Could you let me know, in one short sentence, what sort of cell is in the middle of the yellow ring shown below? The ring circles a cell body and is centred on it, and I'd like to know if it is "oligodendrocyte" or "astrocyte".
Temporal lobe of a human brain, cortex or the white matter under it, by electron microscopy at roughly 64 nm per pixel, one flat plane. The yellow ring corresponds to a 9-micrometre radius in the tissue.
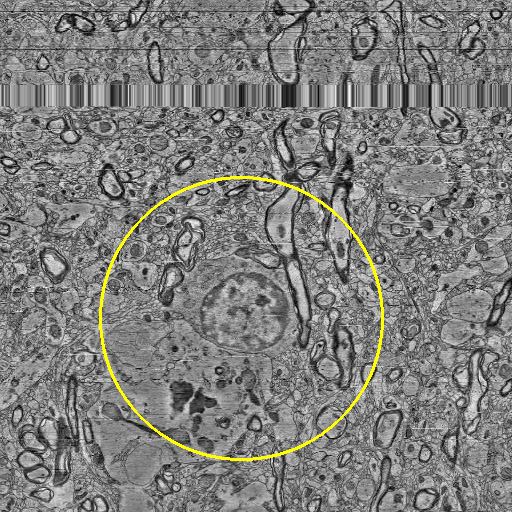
The ring circles the cell body of an oligodendrocyte.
